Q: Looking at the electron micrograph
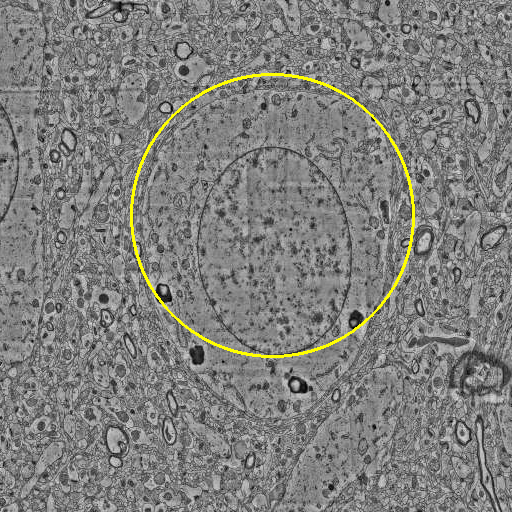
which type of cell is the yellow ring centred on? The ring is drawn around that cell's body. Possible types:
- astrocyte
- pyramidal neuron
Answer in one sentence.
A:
The yellow ring is centred on a pyramidal neuron.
